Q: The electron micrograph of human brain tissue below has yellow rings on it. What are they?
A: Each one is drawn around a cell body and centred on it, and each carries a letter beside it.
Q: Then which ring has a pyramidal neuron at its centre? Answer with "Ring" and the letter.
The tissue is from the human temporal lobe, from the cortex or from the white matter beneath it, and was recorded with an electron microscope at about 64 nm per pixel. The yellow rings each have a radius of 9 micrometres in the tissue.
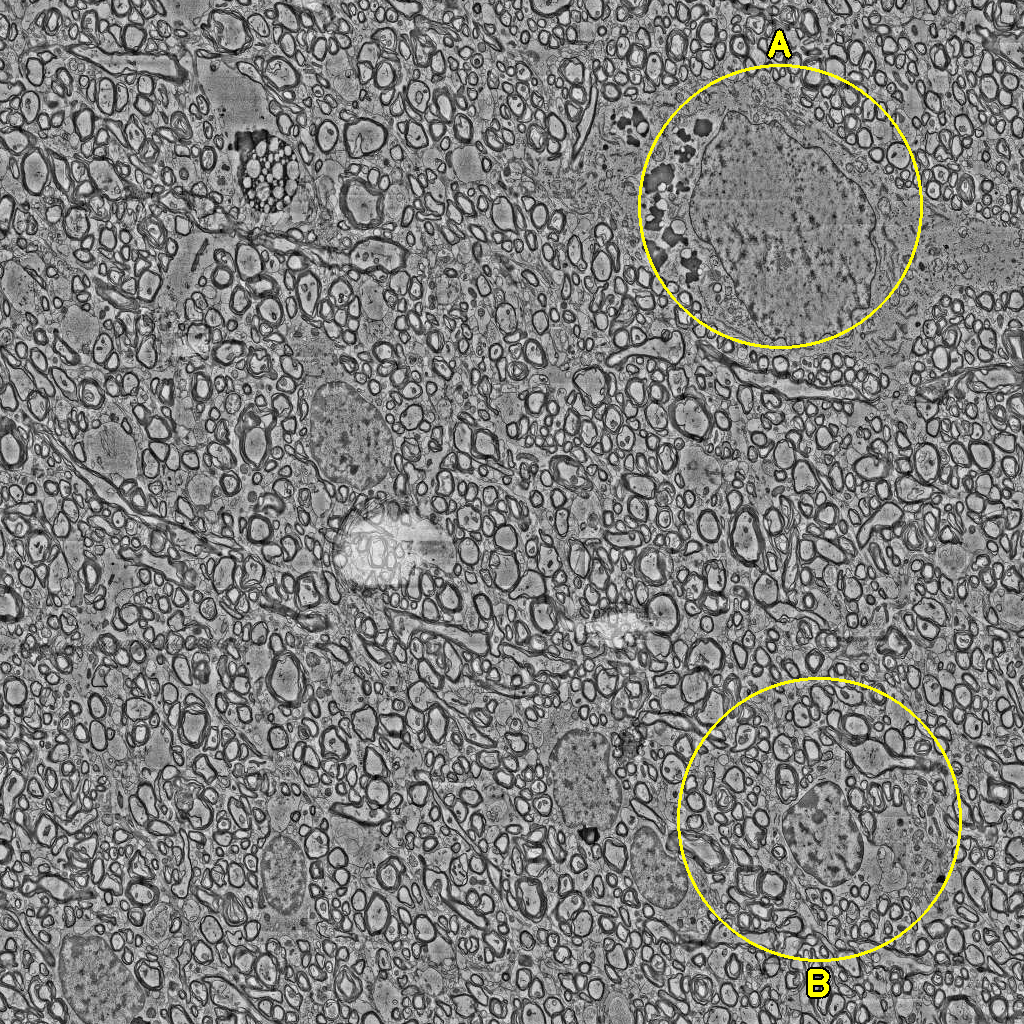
Ring A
